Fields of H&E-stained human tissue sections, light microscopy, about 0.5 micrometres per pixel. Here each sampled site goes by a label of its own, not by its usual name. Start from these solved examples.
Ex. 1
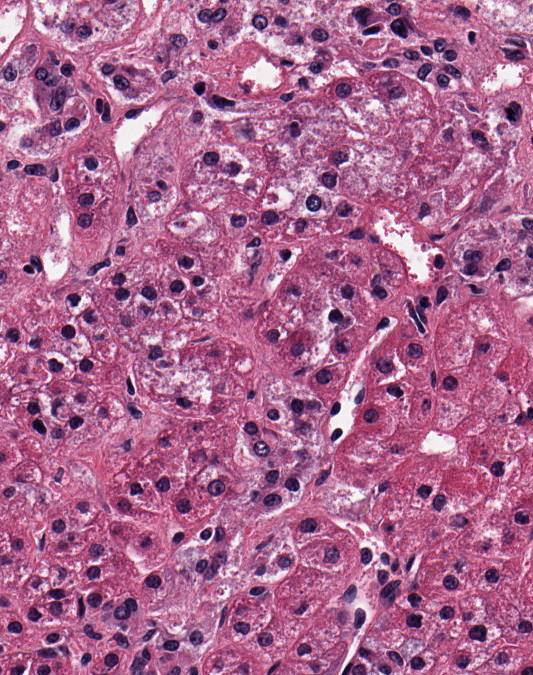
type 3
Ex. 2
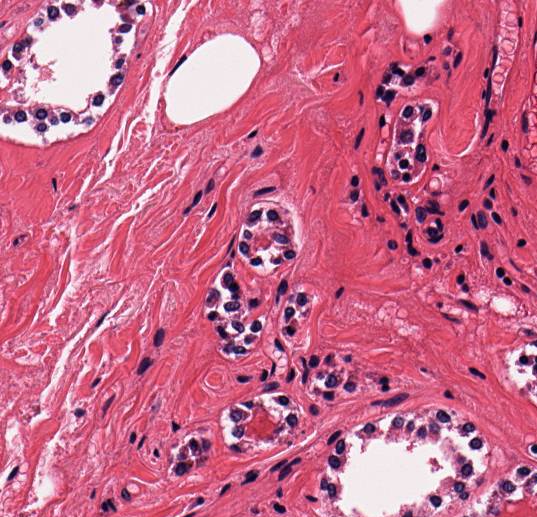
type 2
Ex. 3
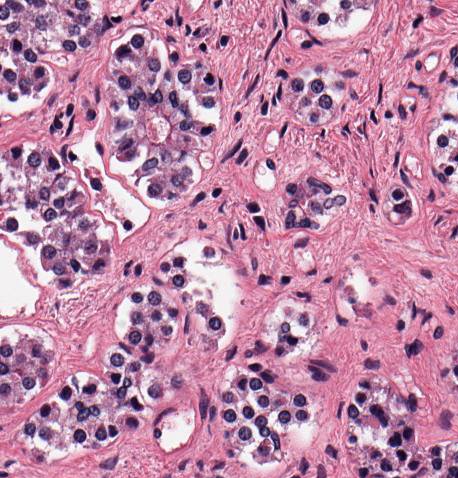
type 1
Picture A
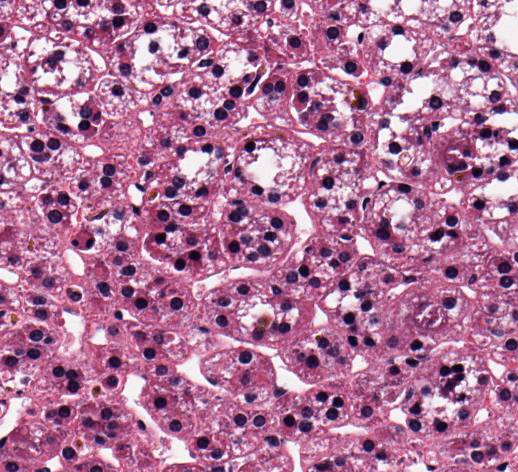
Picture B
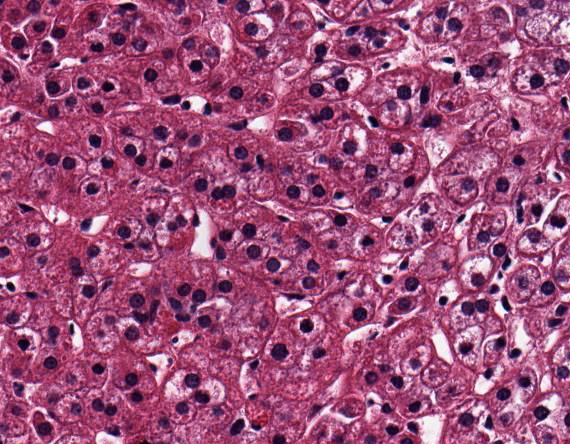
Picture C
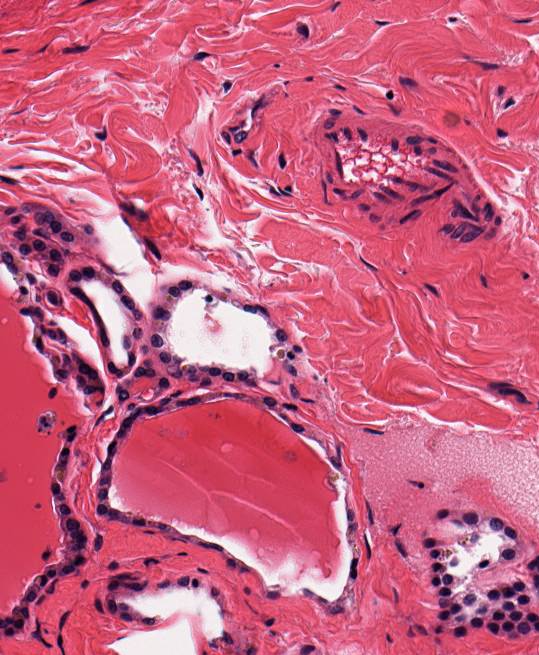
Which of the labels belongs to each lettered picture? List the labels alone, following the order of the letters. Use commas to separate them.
type 3, type 3, type 2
